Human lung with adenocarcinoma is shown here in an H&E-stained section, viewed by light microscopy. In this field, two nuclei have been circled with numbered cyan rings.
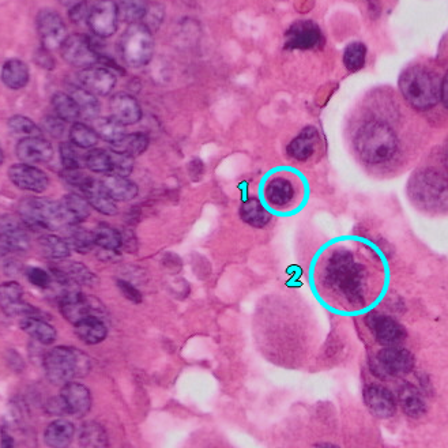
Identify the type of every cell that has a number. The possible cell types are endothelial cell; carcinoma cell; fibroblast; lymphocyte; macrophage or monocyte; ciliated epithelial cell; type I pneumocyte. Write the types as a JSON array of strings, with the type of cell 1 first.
["lymphocyte", "carcinoma cell"]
